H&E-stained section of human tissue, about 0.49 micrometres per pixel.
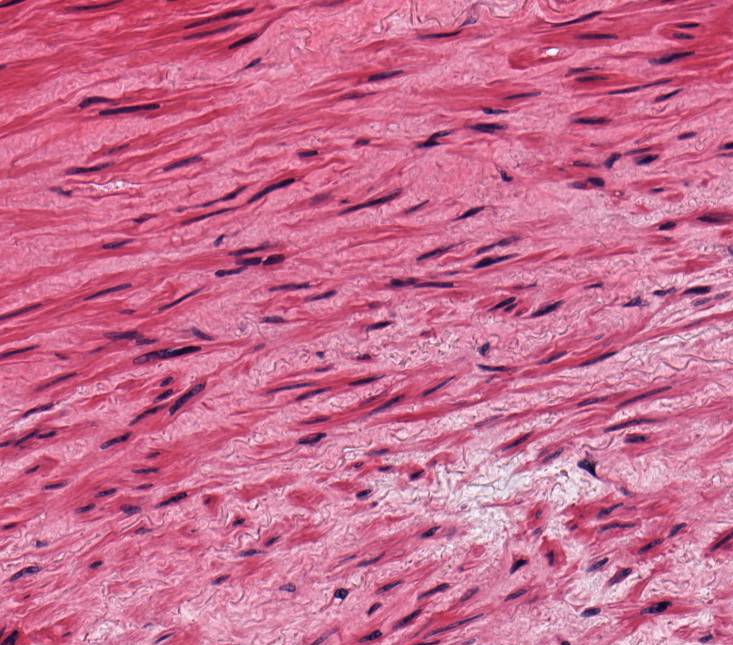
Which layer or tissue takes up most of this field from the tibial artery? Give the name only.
tunica media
